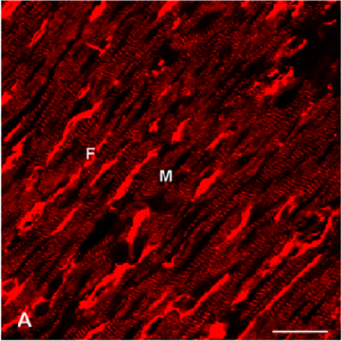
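This is heart muscle in which myocytes run diagonally and in parallel, their fainter red cytoplasm showing fine striations. The fibroblasts are much narrower than the myocytes and lie in the spaces between them.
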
